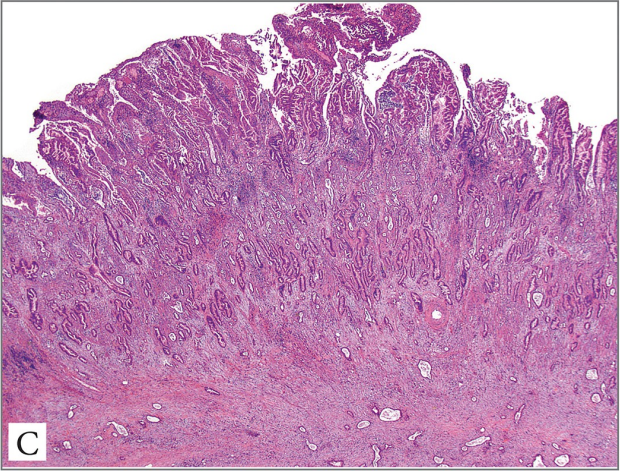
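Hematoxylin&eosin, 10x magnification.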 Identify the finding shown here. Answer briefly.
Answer: Polypoid invasive adenocarcinoma.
